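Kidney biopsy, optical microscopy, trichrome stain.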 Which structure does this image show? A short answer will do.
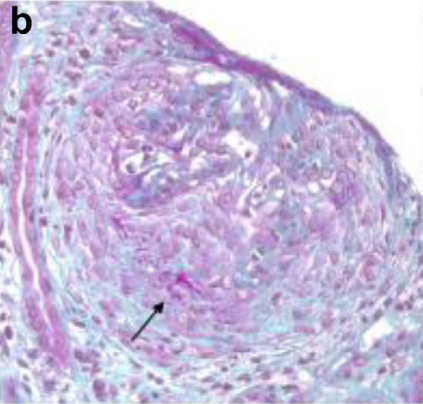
Circumferential crescent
